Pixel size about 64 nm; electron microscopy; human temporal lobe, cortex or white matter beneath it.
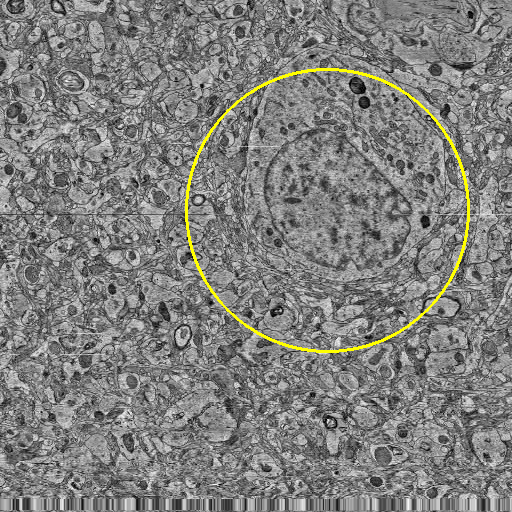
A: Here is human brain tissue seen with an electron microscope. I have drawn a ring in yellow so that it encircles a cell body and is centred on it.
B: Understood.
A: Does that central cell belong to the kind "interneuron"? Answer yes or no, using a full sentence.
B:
Yes, the central cell inside your yellow ring belongs to that kind.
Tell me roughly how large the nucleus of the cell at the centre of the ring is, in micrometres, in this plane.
The nucleus of the ringed cell is approximately 10 by 8 micrometres in this plane.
